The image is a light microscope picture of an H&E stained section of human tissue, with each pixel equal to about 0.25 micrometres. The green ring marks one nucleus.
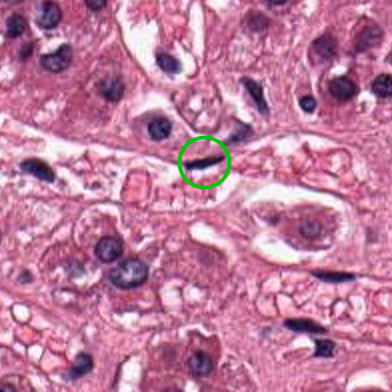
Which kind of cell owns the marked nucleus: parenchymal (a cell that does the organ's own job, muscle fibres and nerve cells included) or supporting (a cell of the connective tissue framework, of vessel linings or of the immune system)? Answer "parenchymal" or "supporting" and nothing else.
supporting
